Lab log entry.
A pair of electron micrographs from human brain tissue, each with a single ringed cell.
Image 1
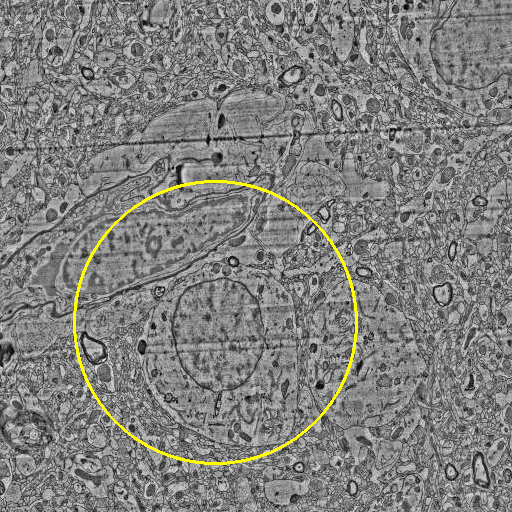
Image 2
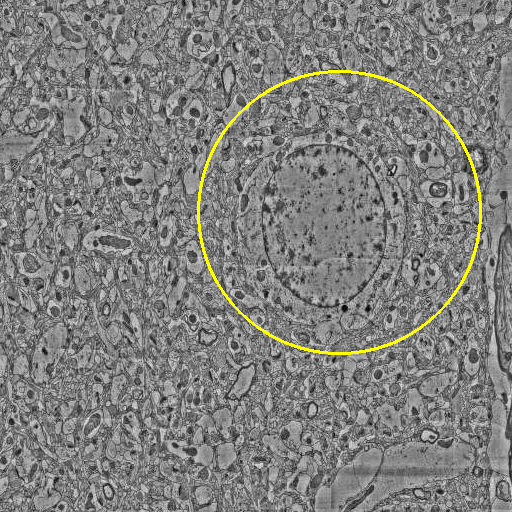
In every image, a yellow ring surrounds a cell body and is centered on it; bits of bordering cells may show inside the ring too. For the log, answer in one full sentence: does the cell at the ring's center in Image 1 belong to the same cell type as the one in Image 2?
Yes, the cells at the ring centers in Image 1 and Image 2 share one type.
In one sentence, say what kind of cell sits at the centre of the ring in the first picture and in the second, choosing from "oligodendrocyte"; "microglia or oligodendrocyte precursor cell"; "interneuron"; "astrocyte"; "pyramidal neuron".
In each picture the ringed cell is a pyramidal neuron.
